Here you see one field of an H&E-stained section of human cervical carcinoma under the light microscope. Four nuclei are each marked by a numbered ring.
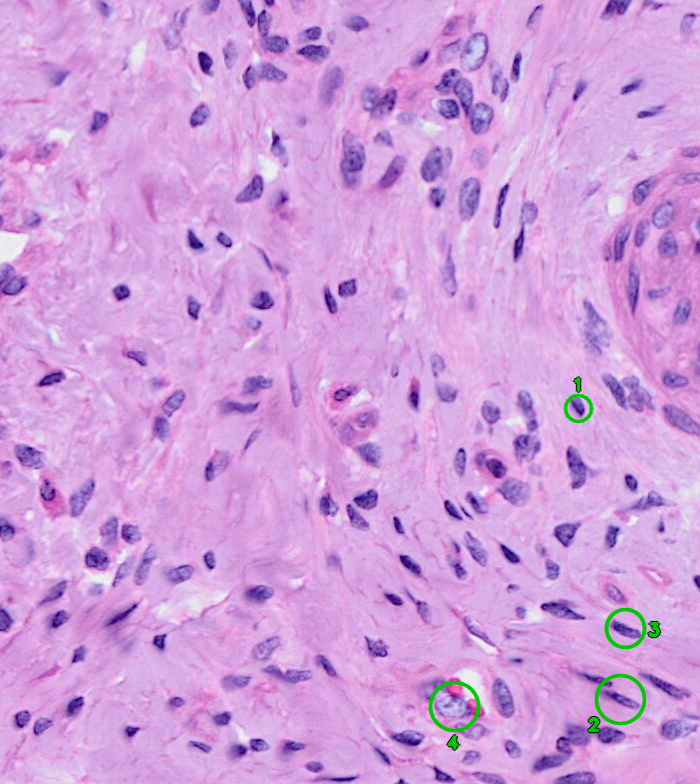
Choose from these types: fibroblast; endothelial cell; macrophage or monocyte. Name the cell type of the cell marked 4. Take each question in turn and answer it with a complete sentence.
Here, the cell given the number 4 is an endothelial cell.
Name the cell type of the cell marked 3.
The cell pointed out by number 3 is a fibroblast.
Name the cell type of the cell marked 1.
Of the numbered cells, the one labelled 1 is a fibroblast.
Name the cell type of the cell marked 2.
Identified by the number 2, the cell is a fibroblast.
